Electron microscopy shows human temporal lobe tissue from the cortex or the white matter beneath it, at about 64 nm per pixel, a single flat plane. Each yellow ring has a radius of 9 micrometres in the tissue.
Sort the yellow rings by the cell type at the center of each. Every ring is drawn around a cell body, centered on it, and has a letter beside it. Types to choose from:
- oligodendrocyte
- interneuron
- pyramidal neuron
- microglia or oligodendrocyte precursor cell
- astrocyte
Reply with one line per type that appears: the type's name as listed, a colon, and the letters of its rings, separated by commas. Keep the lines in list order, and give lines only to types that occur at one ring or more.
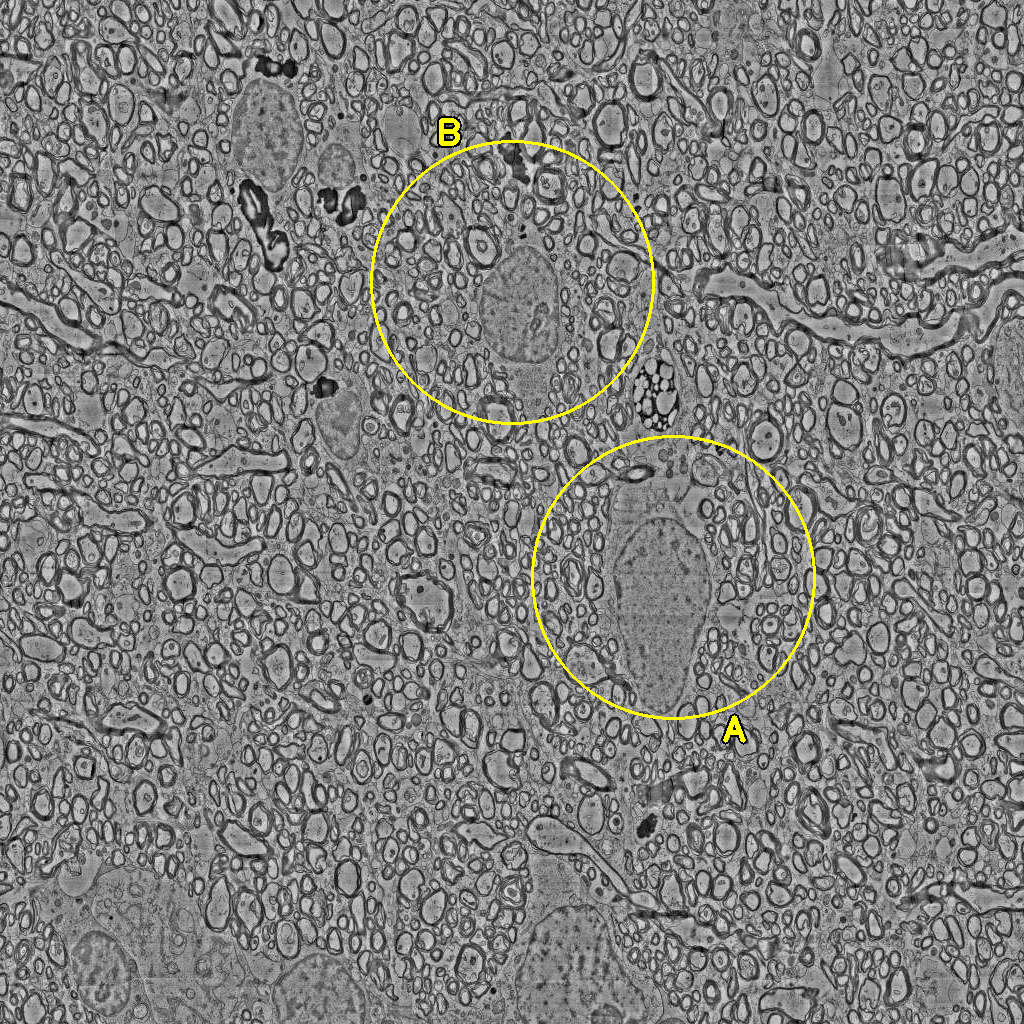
oligodendrocyte: B
astrocyte: A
